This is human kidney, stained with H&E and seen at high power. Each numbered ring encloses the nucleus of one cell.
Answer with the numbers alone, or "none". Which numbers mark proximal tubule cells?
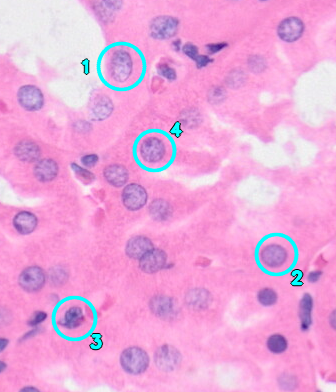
2, 4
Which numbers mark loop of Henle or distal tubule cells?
1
